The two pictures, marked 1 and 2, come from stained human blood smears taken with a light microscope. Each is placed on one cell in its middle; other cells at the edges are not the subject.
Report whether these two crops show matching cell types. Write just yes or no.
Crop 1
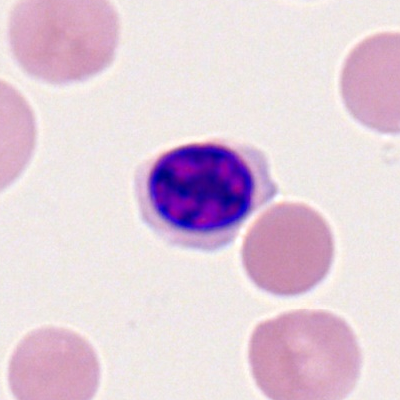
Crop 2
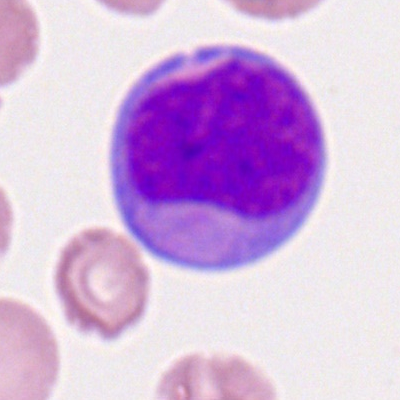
no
